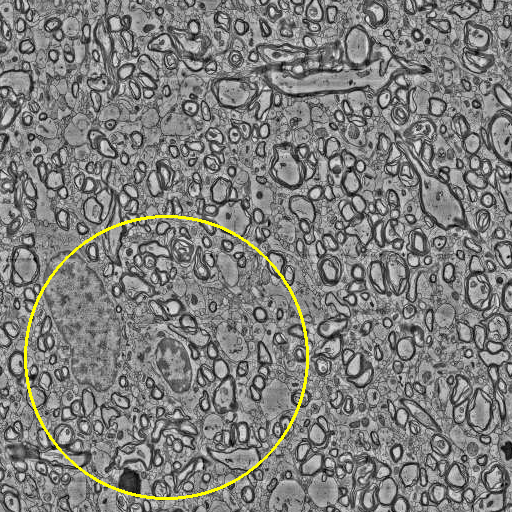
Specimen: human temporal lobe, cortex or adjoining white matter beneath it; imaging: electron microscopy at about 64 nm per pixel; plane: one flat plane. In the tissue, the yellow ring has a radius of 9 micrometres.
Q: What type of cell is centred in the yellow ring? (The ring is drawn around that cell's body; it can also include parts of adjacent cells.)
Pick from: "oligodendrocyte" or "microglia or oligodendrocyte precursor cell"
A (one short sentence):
The yellow ring is centred on a microglial cell or oligodendrocyte precursor cell.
